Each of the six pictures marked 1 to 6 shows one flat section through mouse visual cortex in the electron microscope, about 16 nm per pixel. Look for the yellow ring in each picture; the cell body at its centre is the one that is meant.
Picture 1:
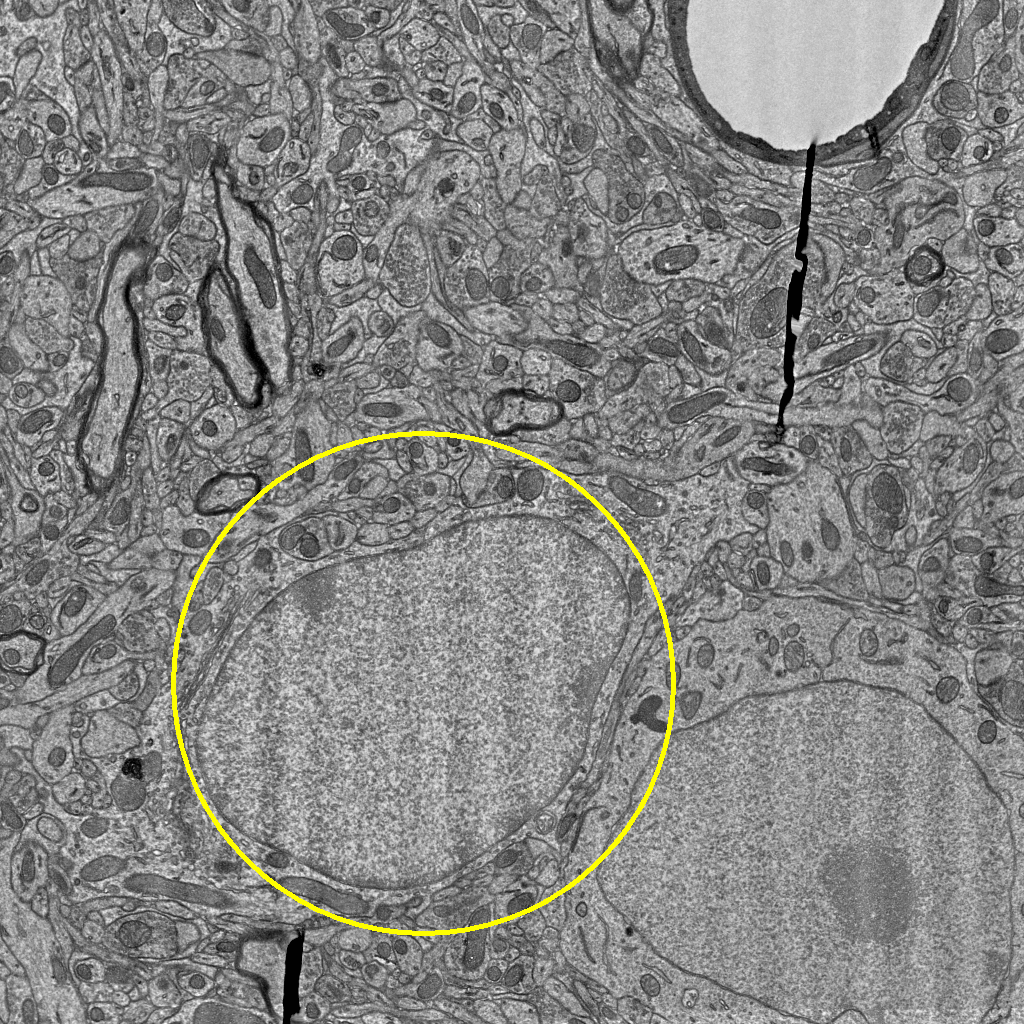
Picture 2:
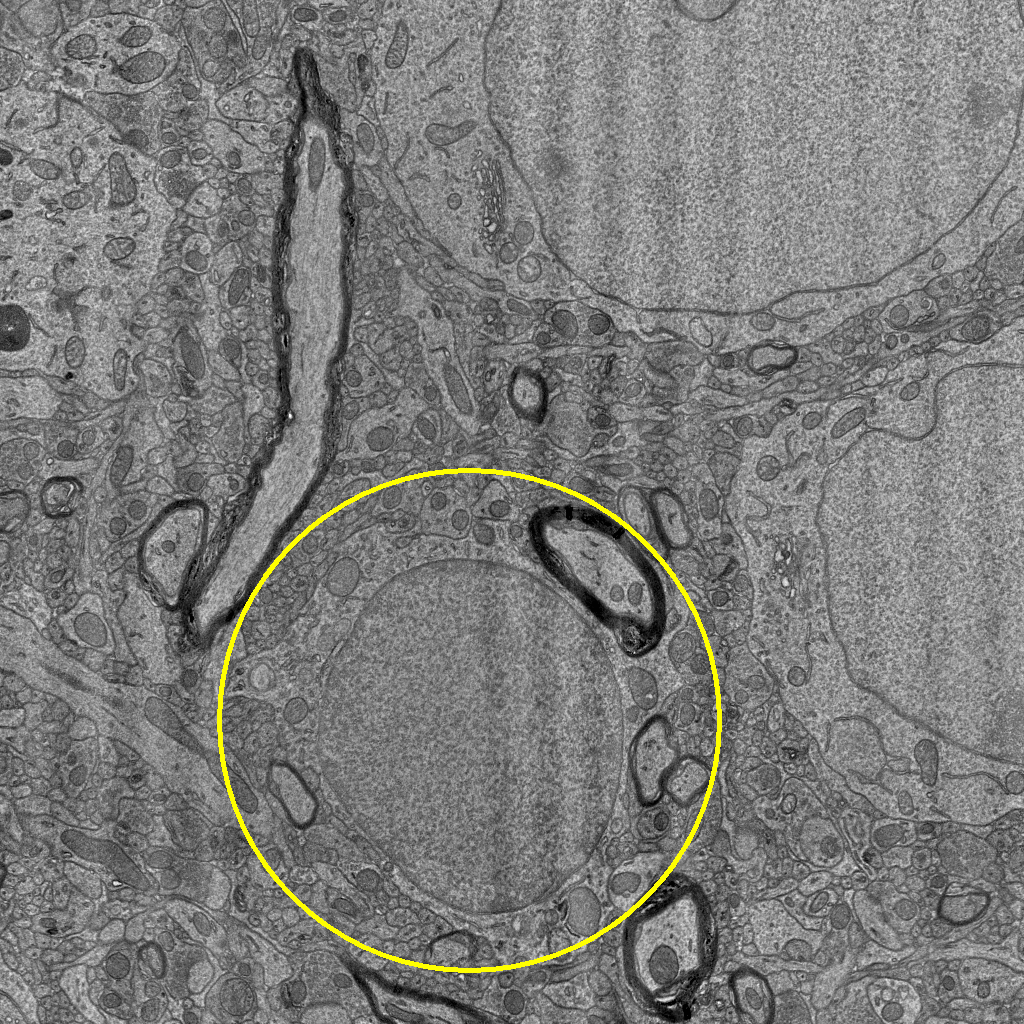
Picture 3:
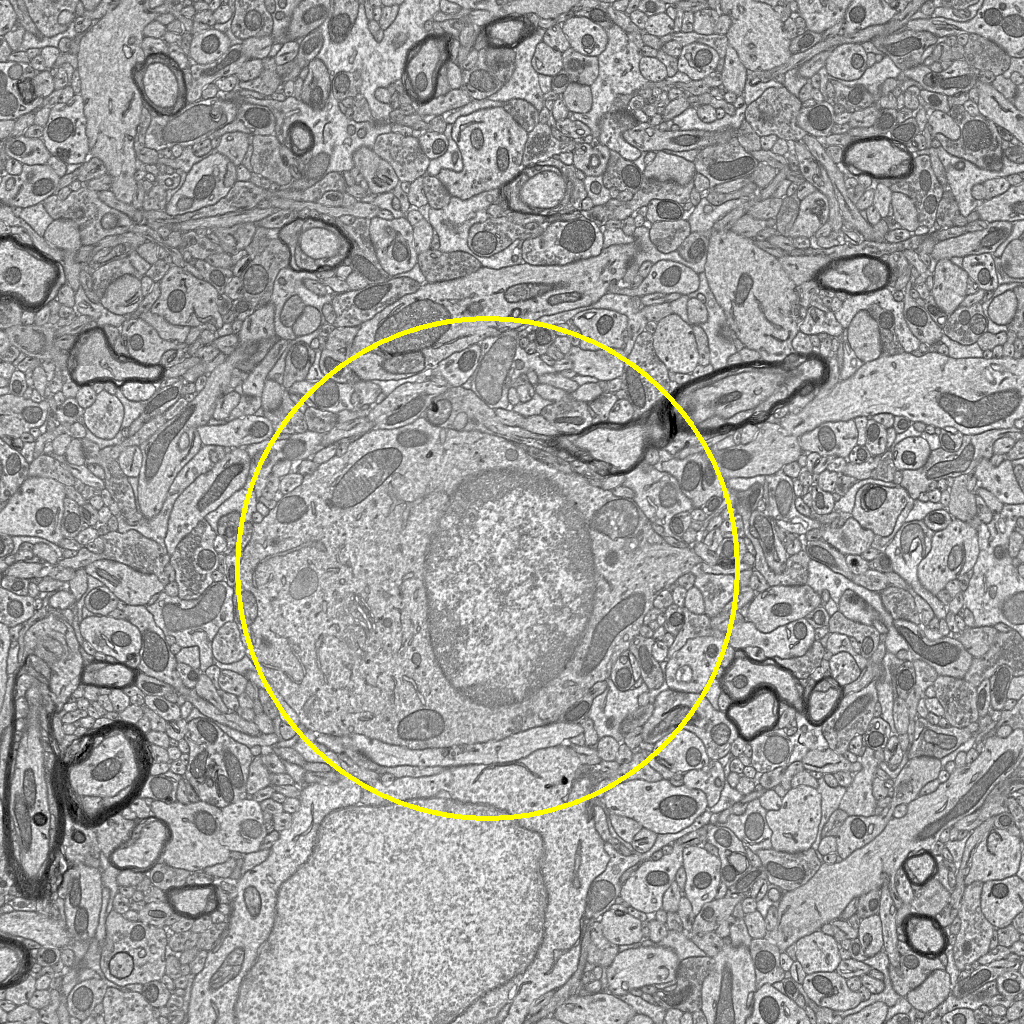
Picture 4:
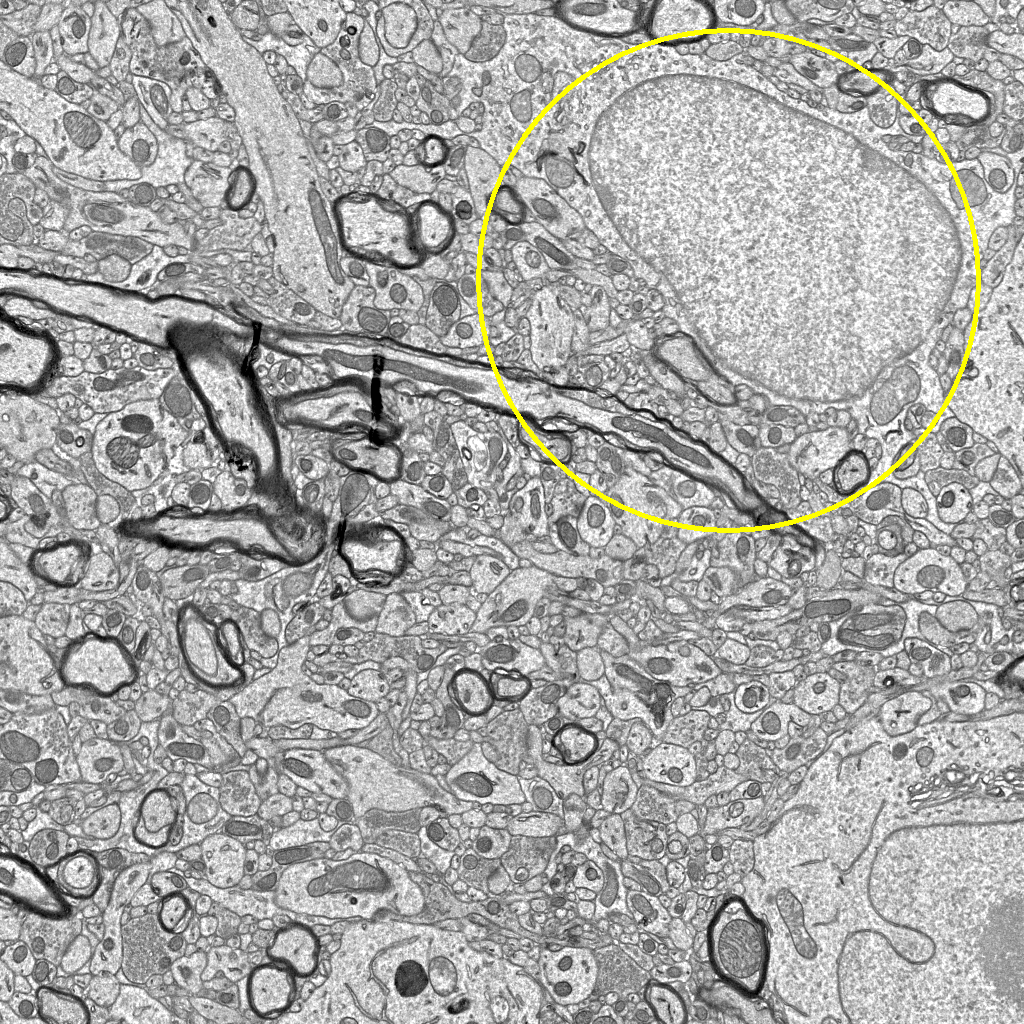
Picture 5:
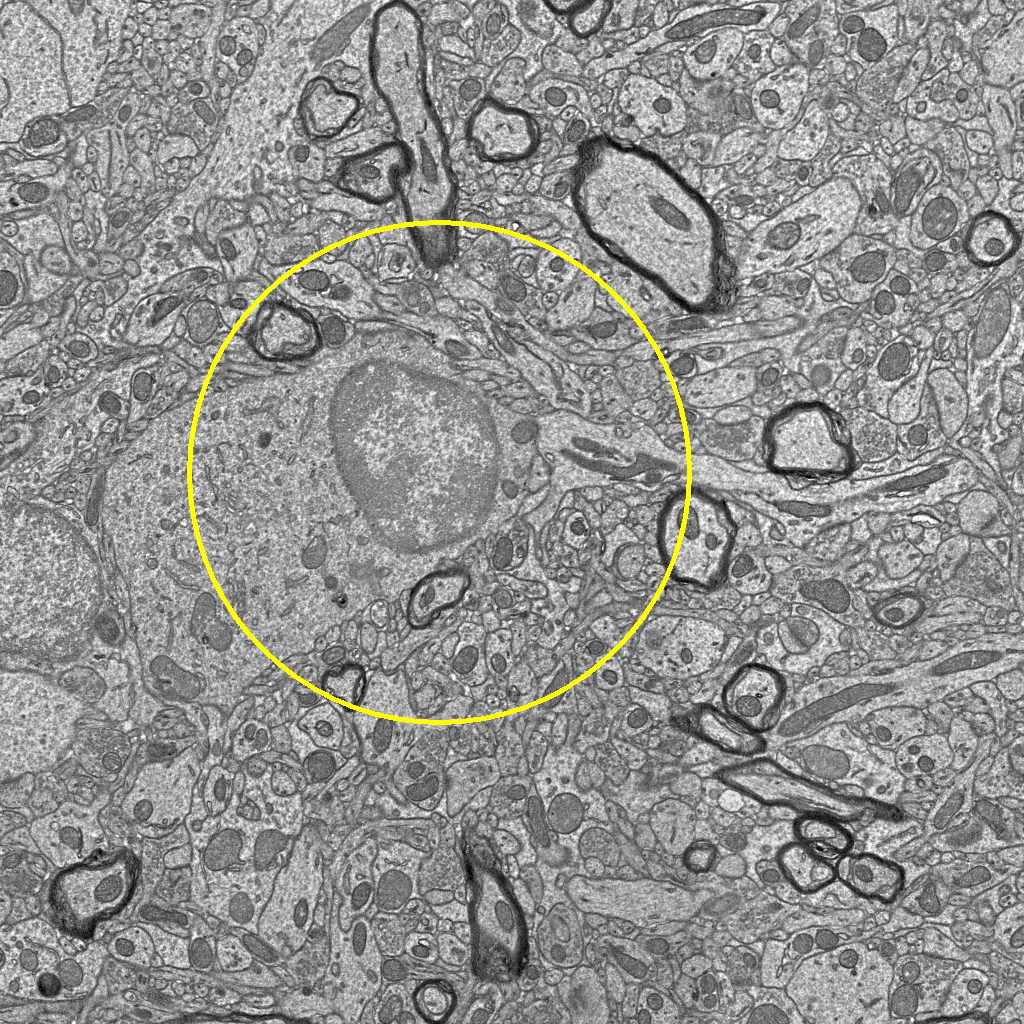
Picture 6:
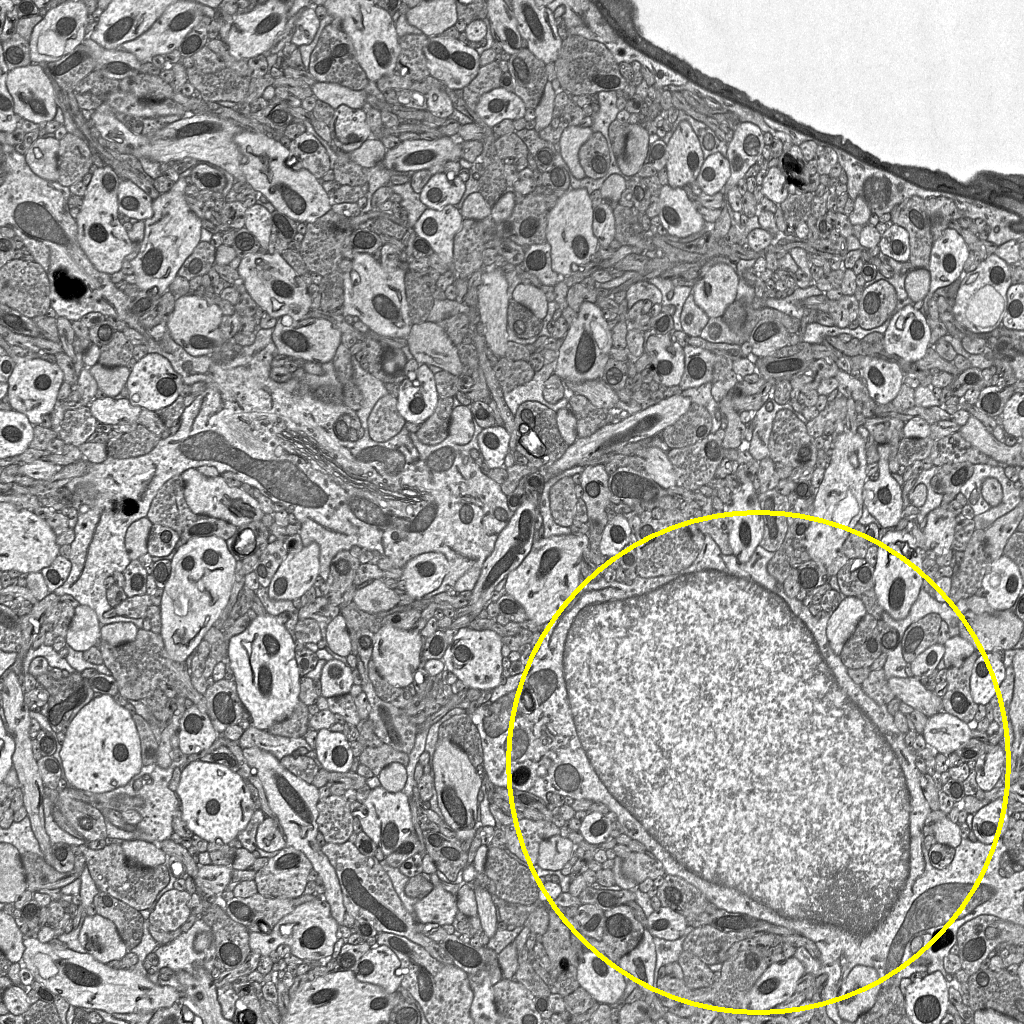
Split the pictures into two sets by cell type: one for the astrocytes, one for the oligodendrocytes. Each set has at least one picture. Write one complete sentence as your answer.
Pictures 1, 2, 4 and 6 show astrocytes, and pictures 3 and 5 show oligodendrocytes.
